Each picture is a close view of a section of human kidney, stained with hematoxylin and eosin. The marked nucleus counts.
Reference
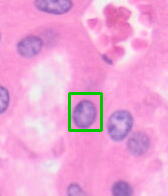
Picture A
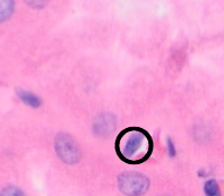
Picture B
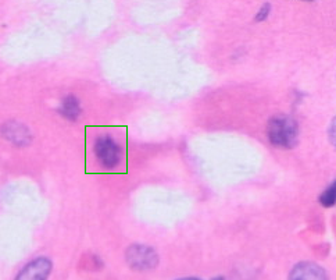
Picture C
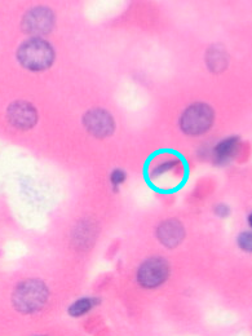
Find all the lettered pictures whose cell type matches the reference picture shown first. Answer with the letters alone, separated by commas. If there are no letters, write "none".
B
